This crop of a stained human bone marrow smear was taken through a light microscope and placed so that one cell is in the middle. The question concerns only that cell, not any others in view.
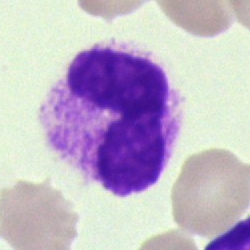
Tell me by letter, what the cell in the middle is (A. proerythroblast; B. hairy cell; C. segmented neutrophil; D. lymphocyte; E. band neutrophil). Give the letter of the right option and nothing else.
E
